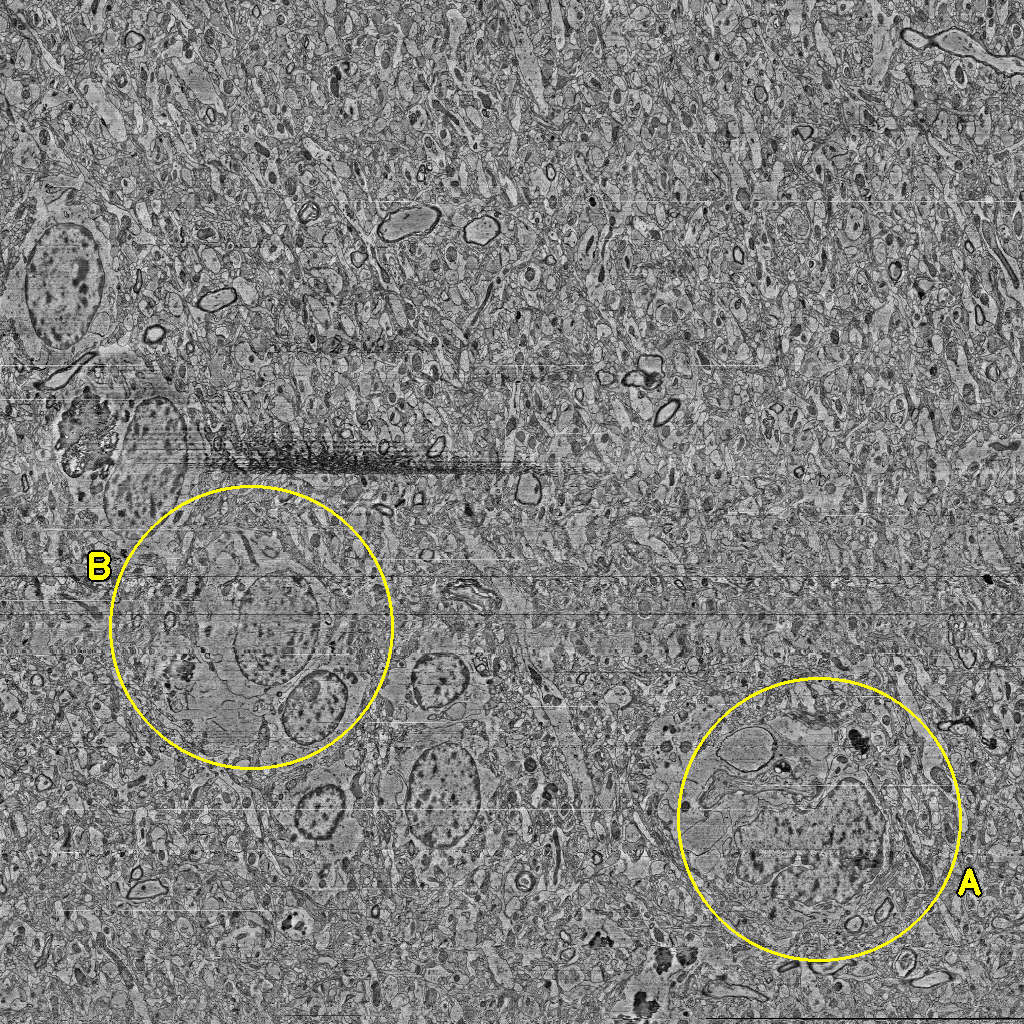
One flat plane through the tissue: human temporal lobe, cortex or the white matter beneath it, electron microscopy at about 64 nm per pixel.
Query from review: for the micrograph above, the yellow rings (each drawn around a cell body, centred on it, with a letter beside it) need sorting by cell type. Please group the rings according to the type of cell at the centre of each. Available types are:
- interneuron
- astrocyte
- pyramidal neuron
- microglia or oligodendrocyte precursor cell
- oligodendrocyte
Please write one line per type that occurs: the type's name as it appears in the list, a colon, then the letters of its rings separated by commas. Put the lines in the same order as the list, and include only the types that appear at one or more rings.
astrocyte: B
microglia or oligodendrocyte precursor cell: A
